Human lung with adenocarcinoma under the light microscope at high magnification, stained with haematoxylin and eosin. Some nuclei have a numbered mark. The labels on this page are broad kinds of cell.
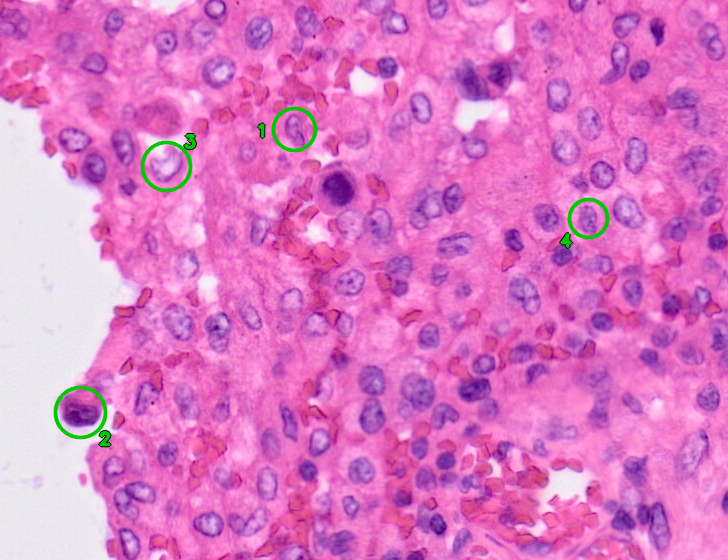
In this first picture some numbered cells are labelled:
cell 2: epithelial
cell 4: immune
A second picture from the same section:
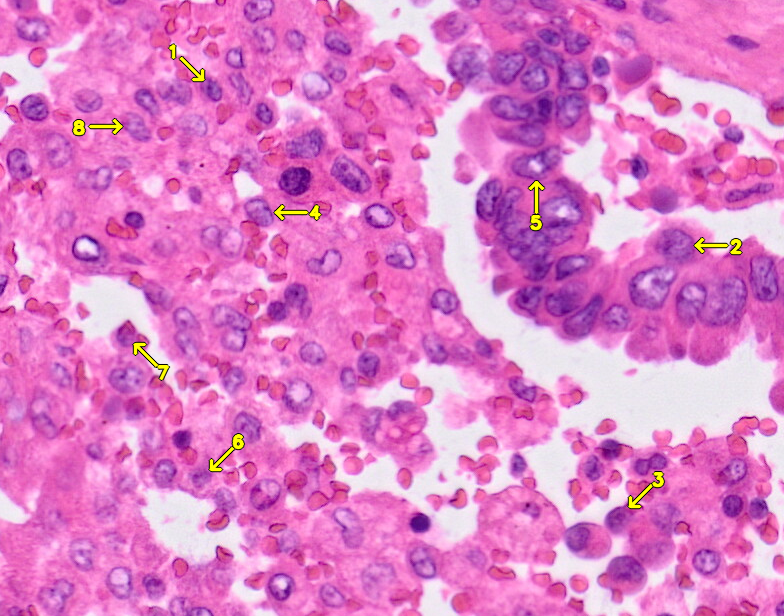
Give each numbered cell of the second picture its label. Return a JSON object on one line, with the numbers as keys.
{"1": "immune", "2": "epithelial", "3": "epithelial", "4": "immune", "5": "epithelial", "6": "immune", "7": "immune", "8": "immune"}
